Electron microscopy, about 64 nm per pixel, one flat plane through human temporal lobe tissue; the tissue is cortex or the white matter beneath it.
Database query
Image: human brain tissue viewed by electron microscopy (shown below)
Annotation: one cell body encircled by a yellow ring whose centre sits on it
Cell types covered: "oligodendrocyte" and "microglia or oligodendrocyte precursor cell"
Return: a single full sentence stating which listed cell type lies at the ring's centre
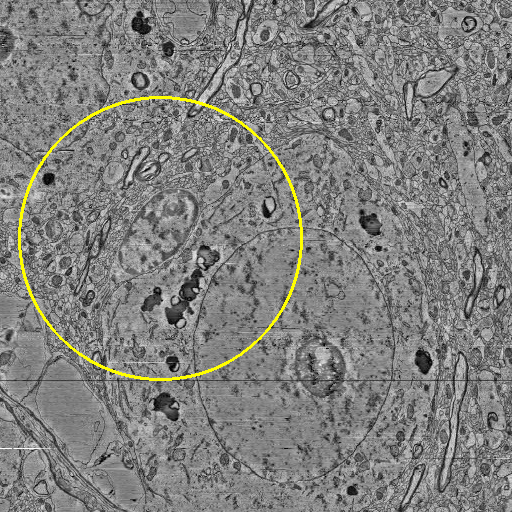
In the image, the cell lying at the ring's centre is a microglial cell or oligodendrocyte precursor cell.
